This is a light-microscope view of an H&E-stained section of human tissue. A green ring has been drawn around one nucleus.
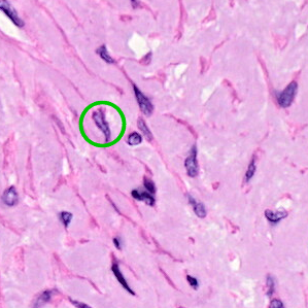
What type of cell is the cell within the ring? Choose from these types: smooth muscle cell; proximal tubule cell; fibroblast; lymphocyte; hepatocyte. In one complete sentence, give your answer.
In cellular terms, the cell within the ring is a fibroblast.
